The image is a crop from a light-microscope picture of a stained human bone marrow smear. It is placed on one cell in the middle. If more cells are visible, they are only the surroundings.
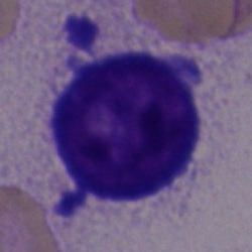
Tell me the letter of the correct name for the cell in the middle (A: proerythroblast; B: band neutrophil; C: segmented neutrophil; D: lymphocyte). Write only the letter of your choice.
A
